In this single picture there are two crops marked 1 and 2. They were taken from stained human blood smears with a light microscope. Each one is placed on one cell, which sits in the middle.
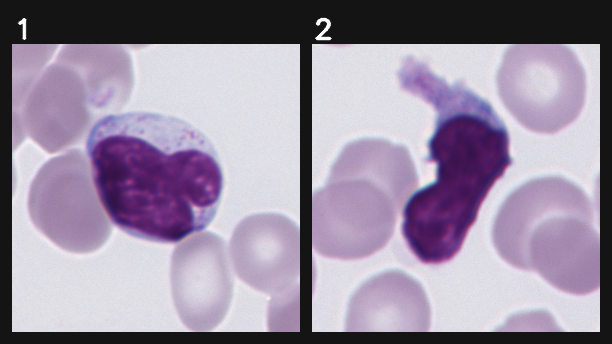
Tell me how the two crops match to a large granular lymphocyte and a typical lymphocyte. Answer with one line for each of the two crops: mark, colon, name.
1: large granular lymphocyte
2: typical lymphocyte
